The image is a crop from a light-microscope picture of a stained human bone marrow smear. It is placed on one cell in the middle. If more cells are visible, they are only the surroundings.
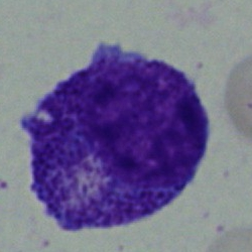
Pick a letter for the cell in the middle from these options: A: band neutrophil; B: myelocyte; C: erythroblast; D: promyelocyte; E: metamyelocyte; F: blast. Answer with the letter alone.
D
